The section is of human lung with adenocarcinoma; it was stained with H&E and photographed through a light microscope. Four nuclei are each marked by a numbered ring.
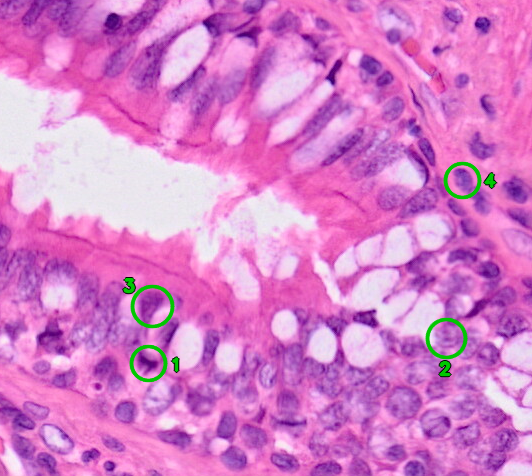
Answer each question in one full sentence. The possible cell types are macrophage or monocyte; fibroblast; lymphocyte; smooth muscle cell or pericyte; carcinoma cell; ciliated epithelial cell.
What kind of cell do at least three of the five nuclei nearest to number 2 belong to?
Of the five nuclei nearest to number 2, most belong to ciliated epithelial cells.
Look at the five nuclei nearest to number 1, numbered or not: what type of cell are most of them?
Of the five nuclei nearest to number 1, most belong to ciliated epithelial cells.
